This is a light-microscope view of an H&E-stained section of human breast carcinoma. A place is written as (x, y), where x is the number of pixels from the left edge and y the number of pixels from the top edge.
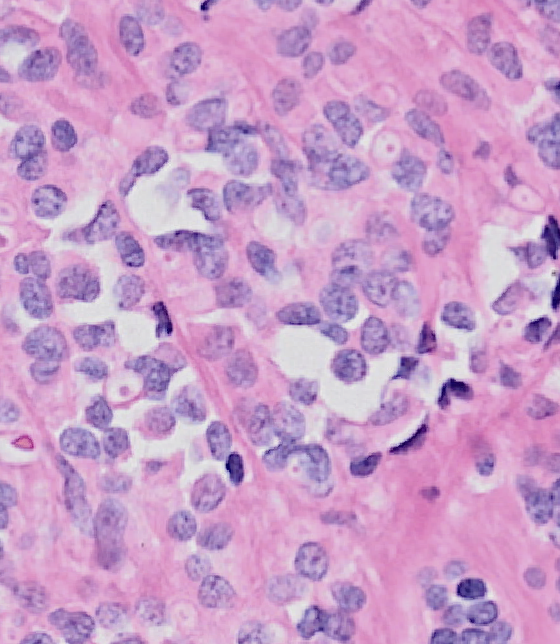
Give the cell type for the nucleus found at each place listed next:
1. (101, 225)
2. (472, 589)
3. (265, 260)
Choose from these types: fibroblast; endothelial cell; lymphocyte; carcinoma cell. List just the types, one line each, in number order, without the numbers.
carcinoma cell
lymphocyte
endothelial cell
